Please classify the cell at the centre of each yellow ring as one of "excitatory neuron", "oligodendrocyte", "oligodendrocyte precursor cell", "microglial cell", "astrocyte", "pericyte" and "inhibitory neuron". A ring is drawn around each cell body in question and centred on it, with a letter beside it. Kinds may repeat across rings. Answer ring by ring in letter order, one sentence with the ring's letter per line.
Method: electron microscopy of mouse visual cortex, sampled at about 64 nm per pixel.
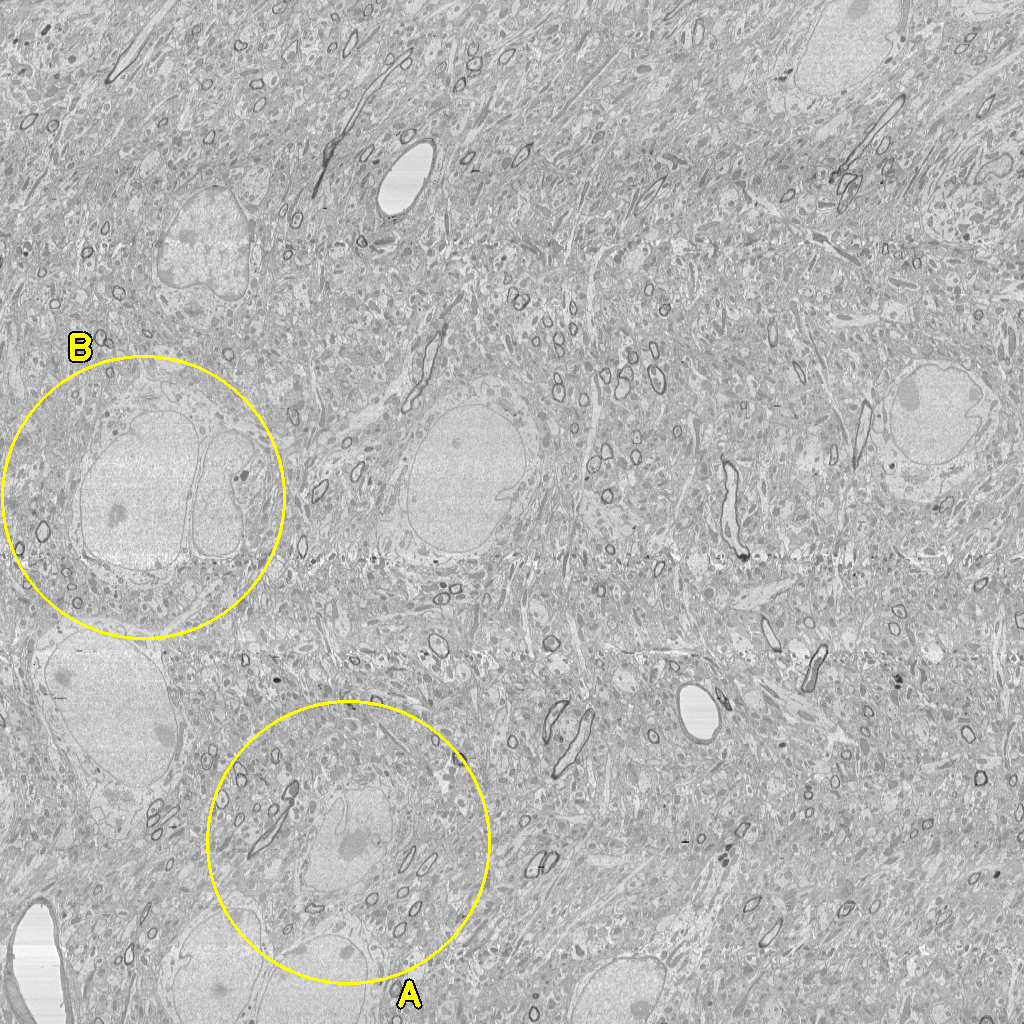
The cell at the heart of ring A is an inhibitory neuron.
The cell at the heart of ring B is an excitatory neuron.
